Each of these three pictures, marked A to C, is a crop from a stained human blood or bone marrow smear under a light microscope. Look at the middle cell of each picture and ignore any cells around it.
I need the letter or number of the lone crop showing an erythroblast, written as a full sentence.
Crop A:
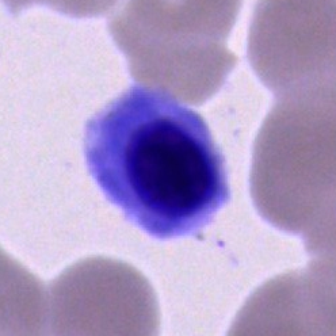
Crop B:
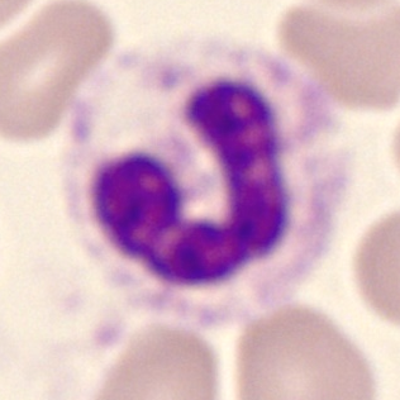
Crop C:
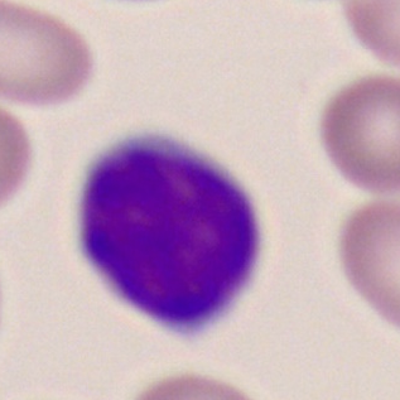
The crop that has an erythroblast in the middle is crop A.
